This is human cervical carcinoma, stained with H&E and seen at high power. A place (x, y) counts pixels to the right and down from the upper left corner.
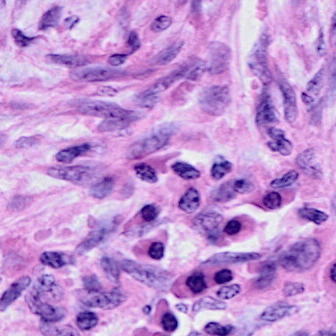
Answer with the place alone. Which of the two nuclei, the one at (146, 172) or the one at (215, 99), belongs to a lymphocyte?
(146, 172)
